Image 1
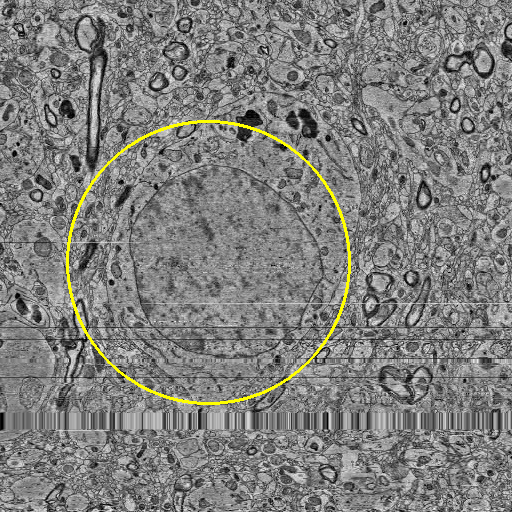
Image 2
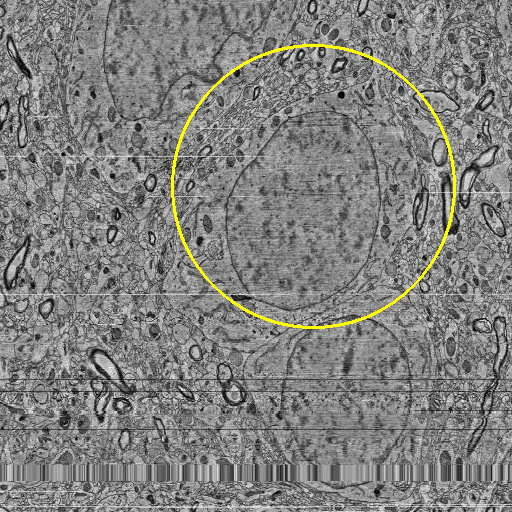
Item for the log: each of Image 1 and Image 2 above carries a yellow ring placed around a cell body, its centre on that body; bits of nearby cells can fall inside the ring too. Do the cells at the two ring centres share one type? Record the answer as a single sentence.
Yes, the two cells at the ring centres in Image 1 and Image 2 share one type.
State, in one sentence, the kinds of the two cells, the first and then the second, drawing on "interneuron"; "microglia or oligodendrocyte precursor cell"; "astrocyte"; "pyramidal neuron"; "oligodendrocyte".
The ring centre holds a pyramidal neuron in each of the two pictures.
